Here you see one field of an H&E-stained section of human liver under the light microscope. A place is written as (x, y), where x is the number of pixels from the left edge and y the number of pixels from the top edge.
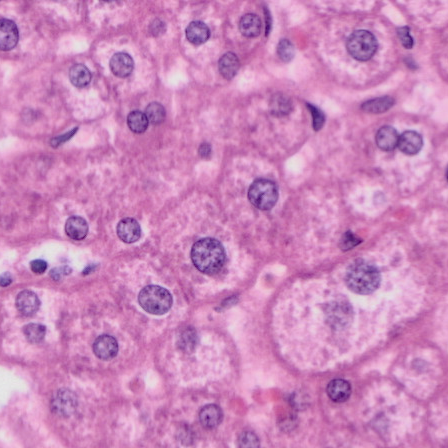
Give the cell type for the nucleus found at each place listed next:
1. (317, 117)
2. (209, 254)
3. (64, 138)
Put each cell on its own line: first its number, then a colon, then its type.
1: fibroblast or stellate cell
2: hepatocyte
3: endothelial cell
